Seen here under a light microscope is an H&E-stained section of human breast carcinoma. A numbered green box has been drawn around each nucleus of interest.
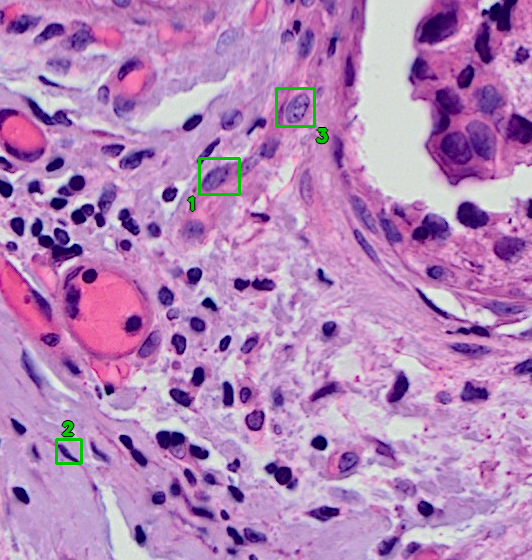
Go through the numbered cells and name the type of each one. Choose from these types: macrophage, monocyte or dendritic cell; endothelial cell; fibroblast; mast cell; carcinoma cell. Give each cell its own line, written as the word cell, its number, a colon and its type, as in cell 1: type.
cell 1: endothelial cell
cell 2: fibroblast
cell 3: endothelial cell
